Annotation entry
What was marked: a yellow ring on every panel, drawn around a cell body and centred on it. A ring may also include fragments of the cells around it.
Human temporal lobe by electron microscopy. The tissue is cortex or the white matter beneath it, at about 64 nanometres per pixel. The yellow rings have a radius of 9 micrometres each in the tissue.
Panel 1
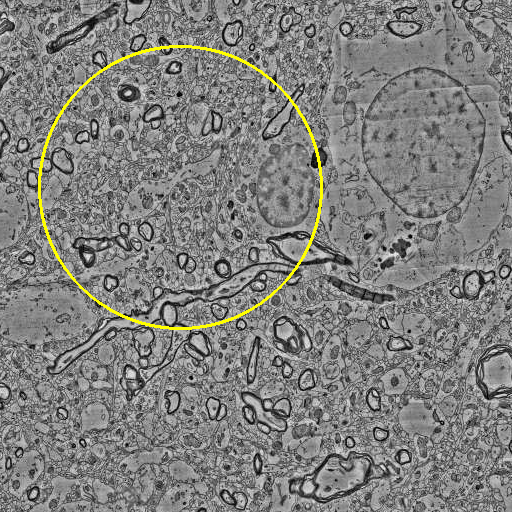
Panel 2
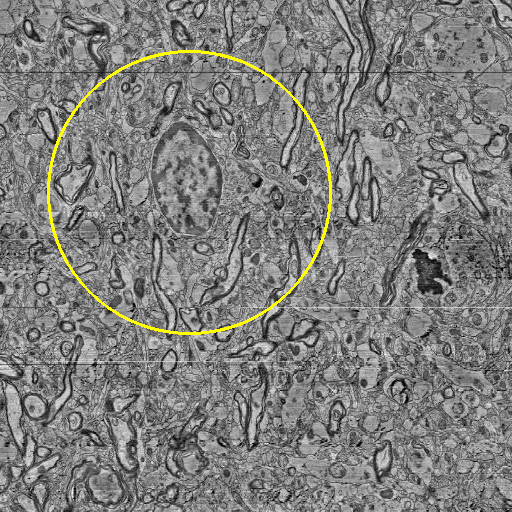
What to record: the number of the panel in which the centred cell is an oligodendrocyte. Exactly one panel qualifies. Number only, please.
1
